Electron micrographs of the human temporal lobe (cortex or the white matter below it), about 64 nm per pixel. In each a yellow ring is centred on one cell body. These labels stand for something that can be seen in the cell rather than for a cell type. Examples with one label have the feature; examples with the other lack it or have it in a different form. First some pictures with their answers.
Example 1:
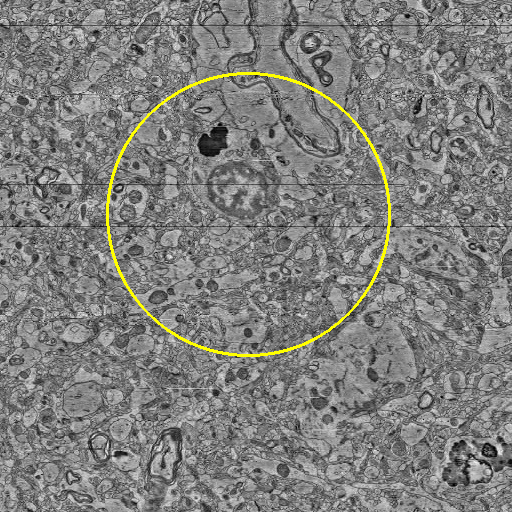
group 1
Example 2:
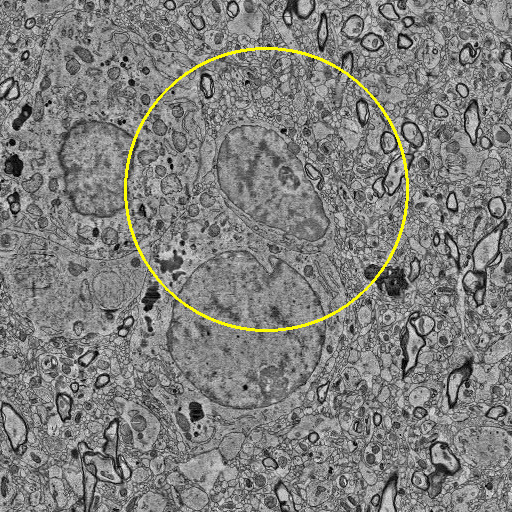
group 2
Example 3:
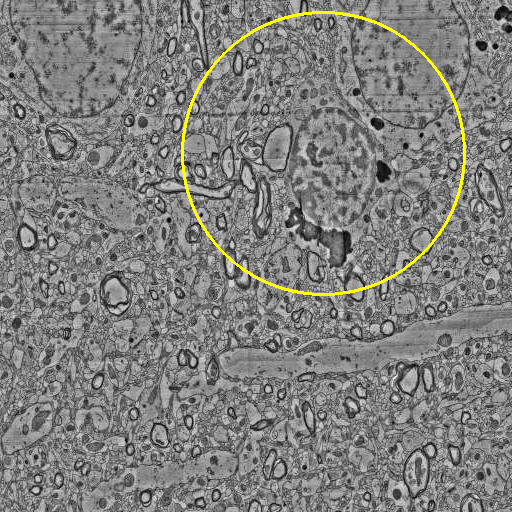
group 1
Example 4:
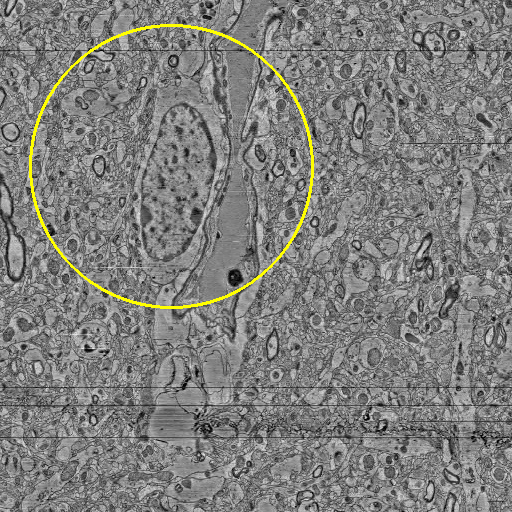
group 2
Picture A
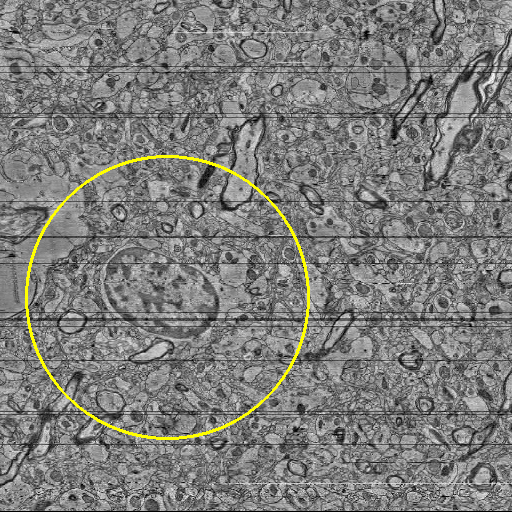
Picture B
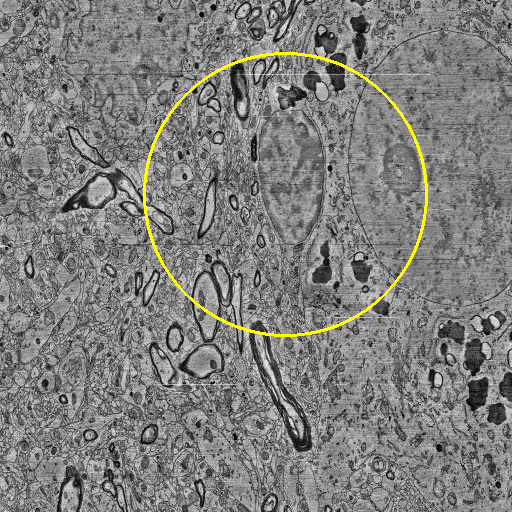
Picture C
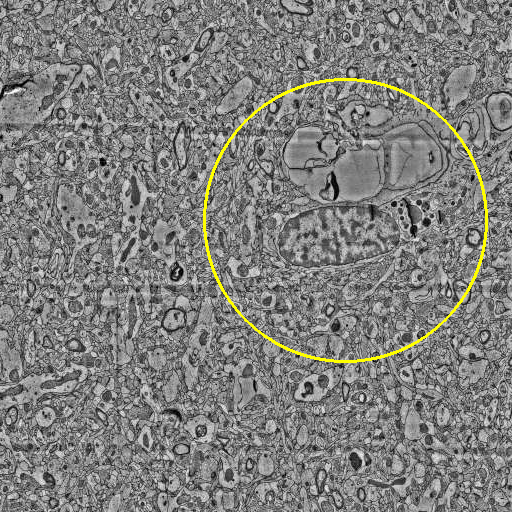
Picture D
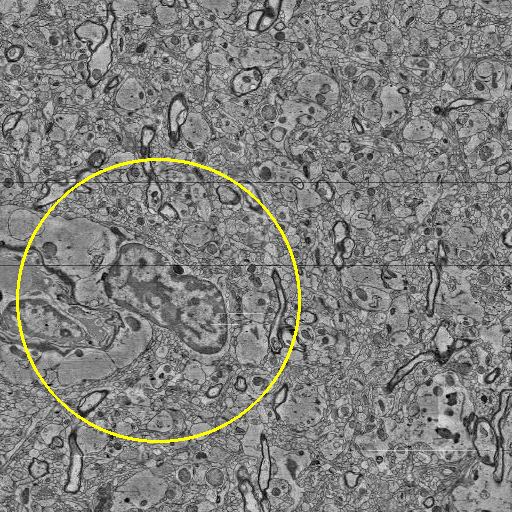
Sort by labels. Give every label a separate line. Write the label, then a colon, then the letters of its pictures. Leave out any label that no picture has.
group 2: A, B, C, D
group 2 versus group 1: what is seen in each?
group 2, clearly elongated nuclei; group 1, round or nearly round nuclei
